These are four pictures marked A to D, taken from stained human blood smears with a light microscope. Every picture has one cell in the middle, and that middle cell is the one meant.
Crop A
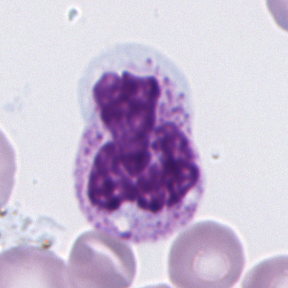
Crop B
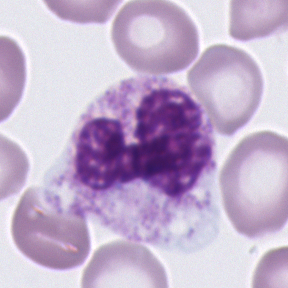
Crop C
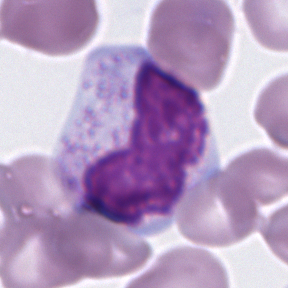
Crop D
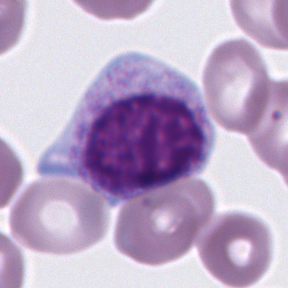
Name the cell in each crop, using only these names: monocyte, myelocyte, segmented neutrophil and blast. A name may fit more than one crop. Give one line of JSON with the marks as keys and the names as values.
{"A": "segmented neutrophil", "B": "segmented neutrophil", "C": "myelocyte", "D": "myelocyte"}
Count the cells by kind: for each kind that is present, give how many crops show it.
segmented neutrophil: 2
myelocyte: 2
